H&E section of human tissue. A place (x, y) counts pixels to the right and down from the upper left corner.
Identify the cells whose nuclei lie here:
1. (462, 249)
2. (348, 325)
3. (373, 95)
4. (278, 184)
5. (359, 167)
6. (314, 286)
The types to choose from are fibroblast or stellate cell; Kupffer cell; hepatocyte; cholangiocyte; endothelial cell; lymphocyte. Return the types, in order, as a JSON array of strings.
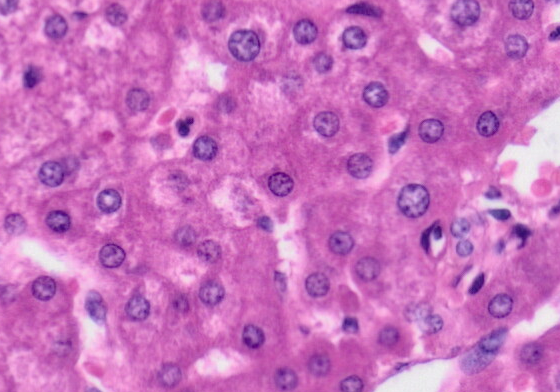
["cholangiocyte", "fibroblast or stellate cell", "hepatocyte", "hepatocyte", "hepatocyte", "hepatocyte"]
